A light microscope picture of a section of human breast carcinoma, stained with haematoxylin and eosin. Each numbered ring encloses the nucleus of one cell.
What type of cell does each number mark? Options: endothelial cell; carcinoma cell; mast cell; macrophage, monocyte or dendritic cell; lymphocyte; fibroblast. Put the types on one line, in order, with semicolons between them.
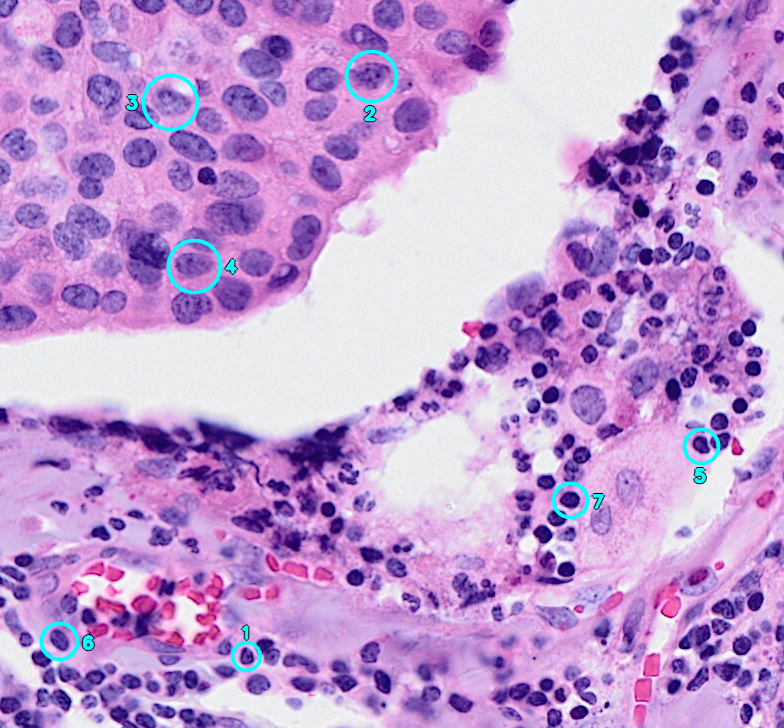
lymphocyte; carcinoma cell; carcinoma cell; carcinoma cell; lymphocyte; lymphocyte; lymphocyte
